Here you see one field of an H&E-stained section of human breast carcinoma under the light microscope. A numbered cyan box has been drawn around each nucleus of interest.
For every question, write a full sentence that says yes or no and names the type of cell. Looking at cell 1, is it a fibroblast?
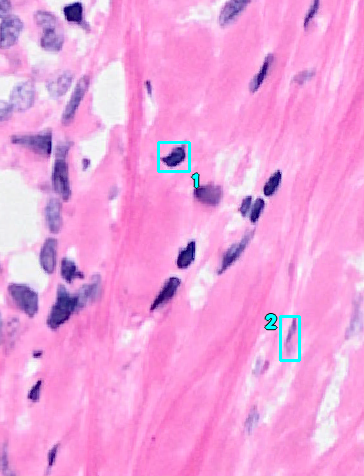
No, the cell given the number 1 is a lymphocyte, so not a fibroblast.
